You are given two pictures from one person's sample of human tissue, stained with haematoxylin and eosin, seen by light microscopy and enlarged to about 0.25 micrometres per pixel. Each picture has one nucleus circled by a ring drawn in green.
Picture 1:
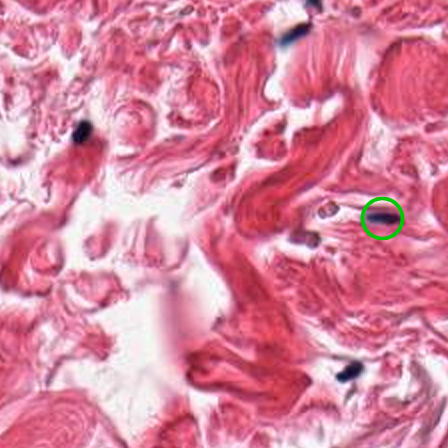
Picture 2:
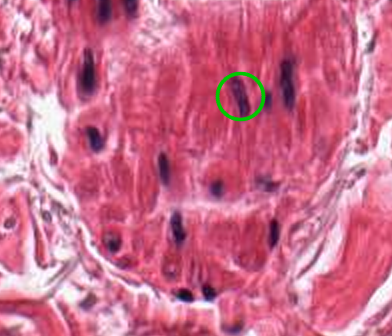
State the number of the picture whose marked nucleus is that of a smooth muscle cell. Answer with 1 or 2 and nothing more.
2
